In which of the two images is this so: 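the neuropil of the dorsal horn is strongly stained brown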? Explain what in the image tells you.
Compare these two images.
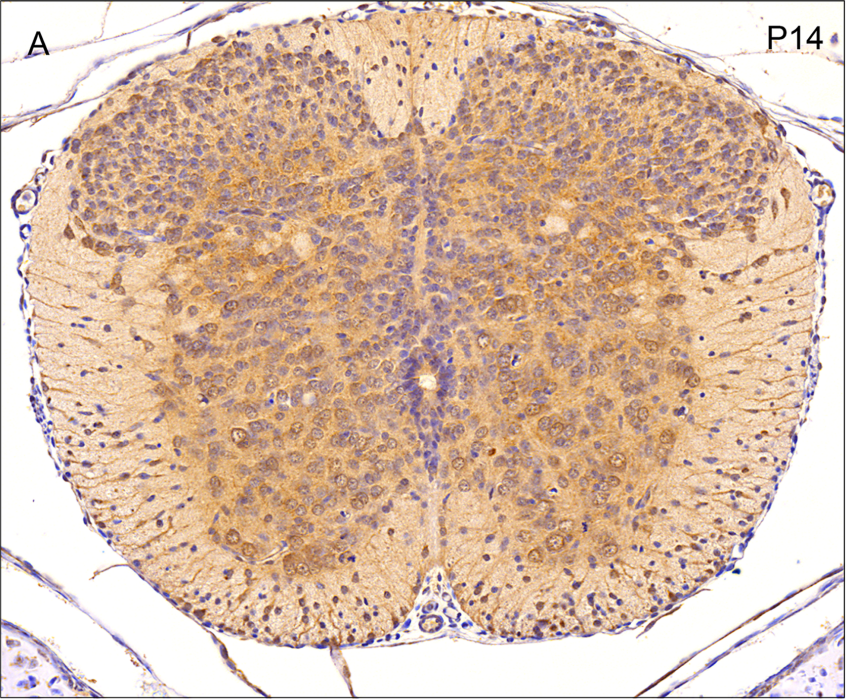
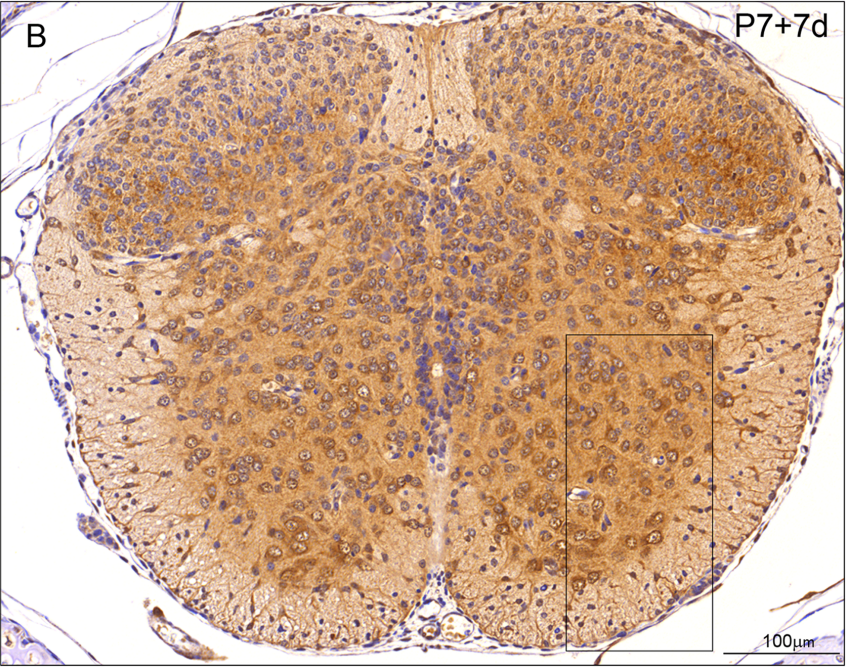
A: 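Second image: the dorsal horns, especially their lateral parts, show dense dark brown staining between the cells. First image: the dorsal horns are paler, with lighter brown staining between blue nuclei.
Hence: the second image.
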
